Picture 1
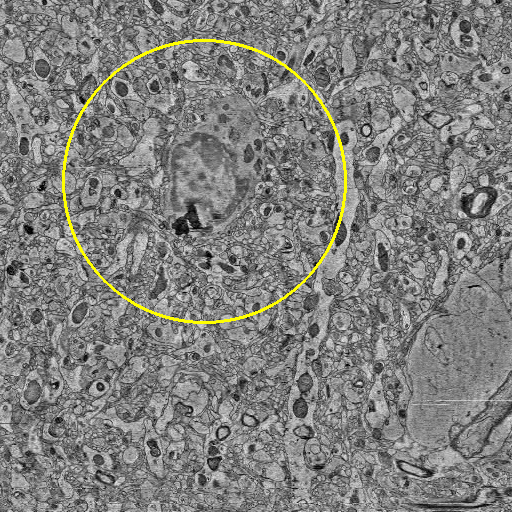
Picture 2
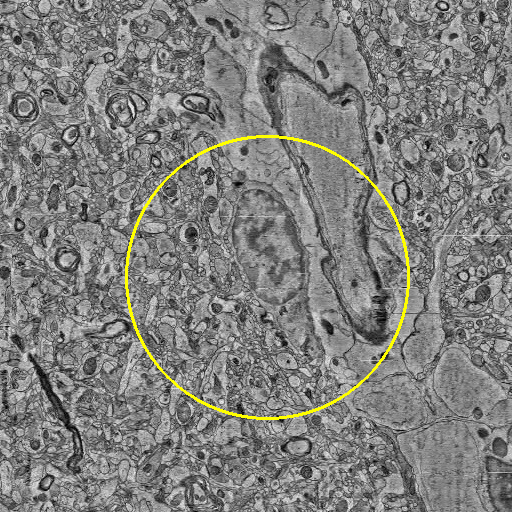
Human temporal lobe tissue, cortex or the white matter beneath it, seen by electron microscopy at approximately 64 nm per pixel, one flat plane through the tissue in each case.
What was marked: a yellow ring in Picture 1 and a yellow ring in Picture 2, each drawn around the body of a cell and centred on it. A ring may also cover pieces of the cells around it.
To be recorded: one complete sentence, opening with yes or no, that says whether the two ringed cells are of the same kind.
Yes, the two ringed cells are of the same kind.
